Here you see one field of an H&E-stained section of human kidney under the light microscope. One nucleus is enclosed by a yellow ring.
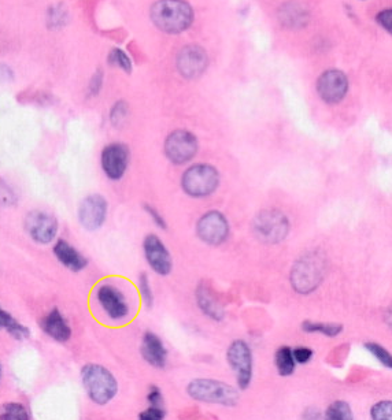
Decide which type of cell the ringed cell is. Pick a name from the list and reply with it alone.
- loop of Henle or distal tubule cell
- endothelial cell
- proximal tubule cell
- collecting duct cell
collecting duct cell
